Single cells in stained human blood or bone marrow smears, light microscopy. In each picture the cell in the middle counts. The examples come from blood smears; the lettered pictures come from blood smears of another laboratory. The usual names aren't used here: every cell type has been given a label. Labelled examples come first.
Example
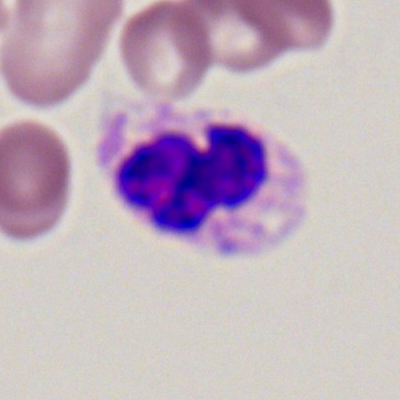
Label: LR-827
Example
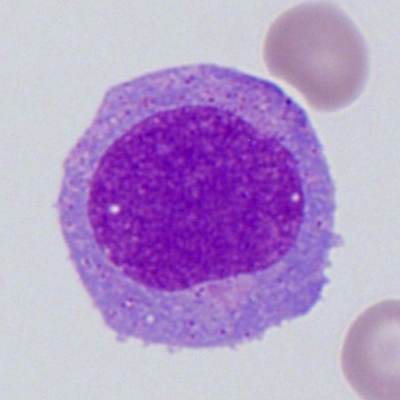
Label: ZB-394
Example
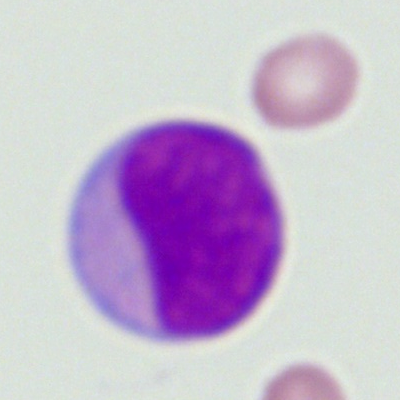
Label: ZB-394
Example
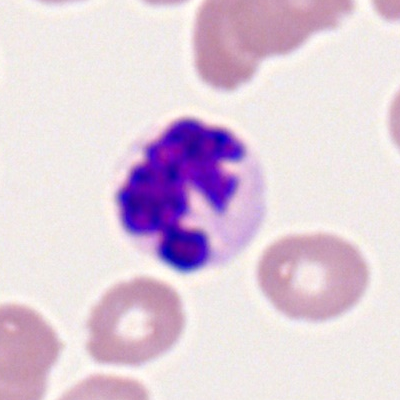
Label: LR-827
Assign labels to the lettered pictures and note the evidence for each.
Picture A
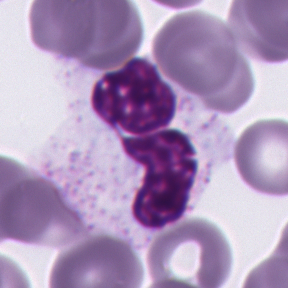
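LR-827. The nucleus is divided into two lobes, one lying above the other.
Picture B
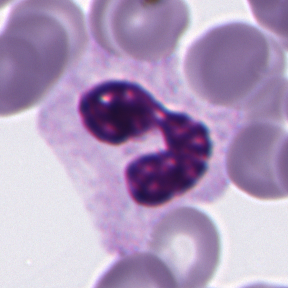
LR-827. The cytoplasm is plentiful and pale pinkish-lilac.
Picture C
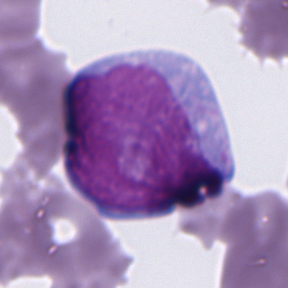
ZB-394. The nucleus fills most of the cell and lies off-centre toward the left.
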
